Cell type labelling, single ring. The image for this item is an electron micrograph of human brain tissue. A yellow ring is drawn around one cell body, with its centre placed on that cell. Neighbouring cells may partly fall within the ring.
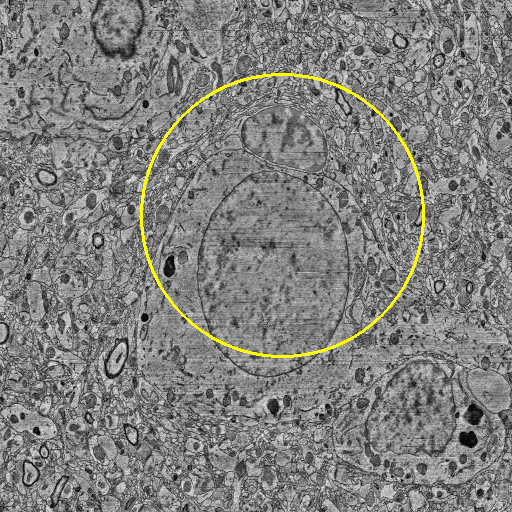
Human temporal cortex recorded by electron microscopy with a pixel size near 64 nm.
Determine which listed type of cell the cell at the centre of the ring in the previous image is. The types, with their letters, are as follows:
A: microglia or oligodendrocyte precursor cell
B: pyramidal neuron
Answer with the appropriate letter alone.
B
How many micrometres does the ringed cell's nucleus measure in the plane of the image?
The nucleus appears roughly 13 by 10 micrometres in this plane.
